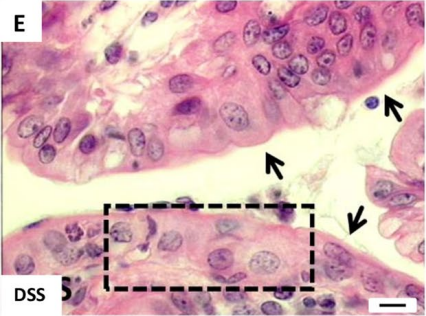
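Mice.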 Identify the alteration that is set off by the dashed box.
Disarrangement of enterocytes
